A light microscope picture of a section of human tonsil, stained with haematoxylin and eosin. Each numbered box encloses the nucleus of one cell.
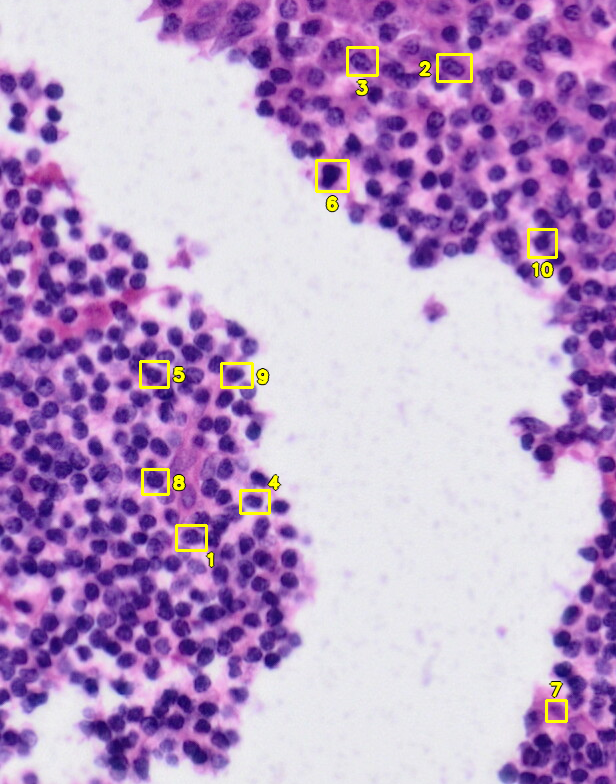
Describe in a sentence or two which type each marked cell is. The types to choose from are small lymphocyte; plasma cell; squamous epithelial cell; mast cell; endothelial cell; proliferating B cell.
Cells 1, 4, 5, 8, 9 and 10 are small lymphocytes. Cells 2 and 3 are plasma cells. Cell 6 is a proliferating B cell. Cell 7 is an endothelial cell.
